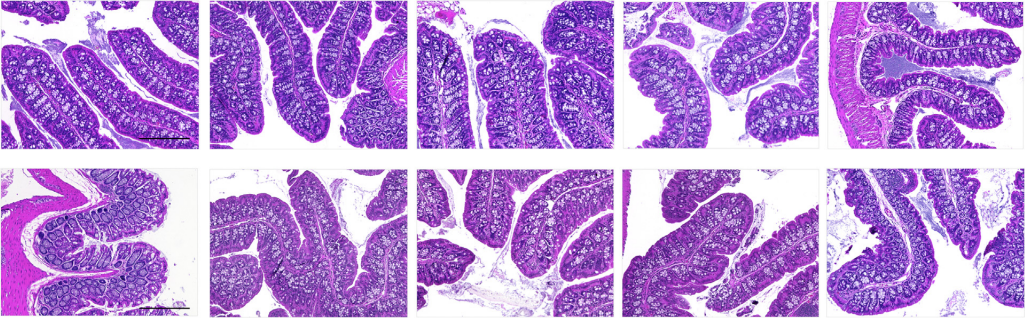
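Ten sections of colon show folded mucosa, with the lining folds cut lengthwise and packed with closely set crypts stained deep purple. Within the crypts, many pale, rounded, clear spaces are scattered among the purple epithelium, giving the mucosa a speckled look. A thin pale core of connective tissue runs down the middle of each fold. In some sections a band of pink smooth muscle lies along the outer edge of the mucosa.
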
